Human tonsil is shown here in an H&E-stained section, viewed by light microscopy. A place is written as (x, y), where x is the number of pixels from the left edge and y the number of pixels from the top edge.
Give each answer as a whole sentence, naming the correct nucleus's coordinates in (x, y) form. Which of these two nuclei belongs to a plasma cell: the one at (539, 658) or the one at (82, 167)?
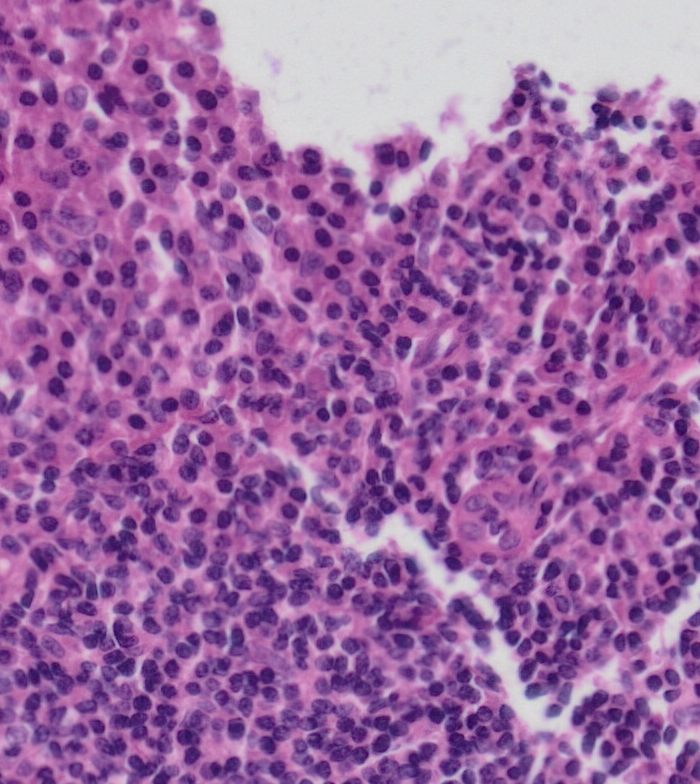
The nucleus situated at (82, 167) is the one belonging to a plasma cell.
